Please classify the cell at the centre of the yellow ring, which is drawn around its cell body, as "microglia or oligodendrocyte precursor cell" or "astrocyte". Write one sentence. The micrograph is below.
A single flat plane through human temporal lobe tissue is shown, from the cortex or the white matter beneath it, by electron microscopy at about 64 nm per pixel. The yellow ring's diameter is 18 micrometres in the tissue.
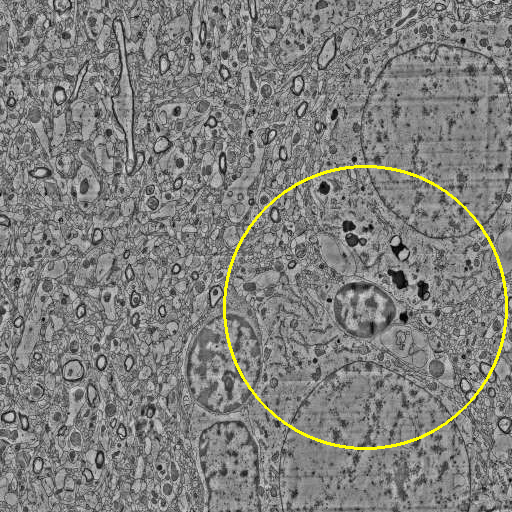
The cell at the ring's centre is classified as a microglial cell or oligodendrocyte precursor cell.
